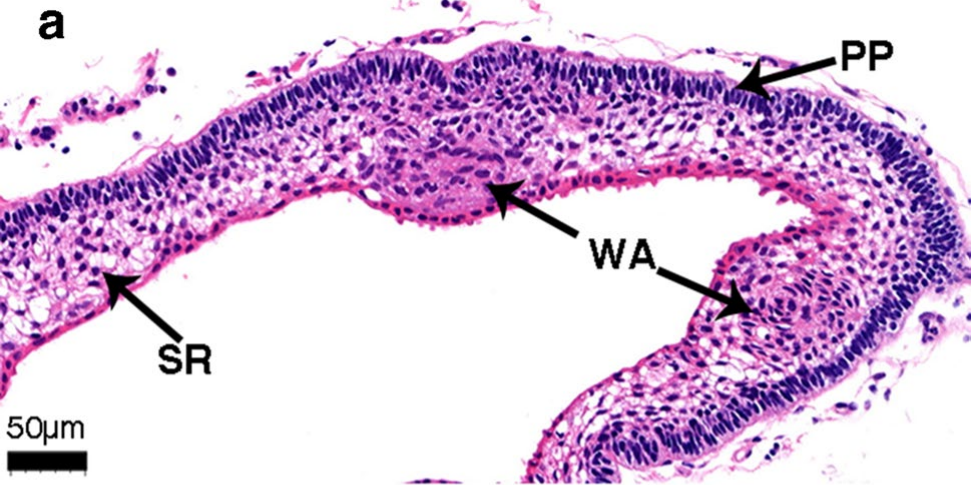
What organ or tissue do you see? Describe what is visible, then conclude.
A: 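A band of epithelium with a row of tall, densely packed basal nuclei along one edge. Loose, pale, vacuolated epithelium with scattered star-shaped cells lies inside the band. Small whorled nests of epithelial cells within the loose layer. On this evidence: adamantinomatous craniopharyngioma.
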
